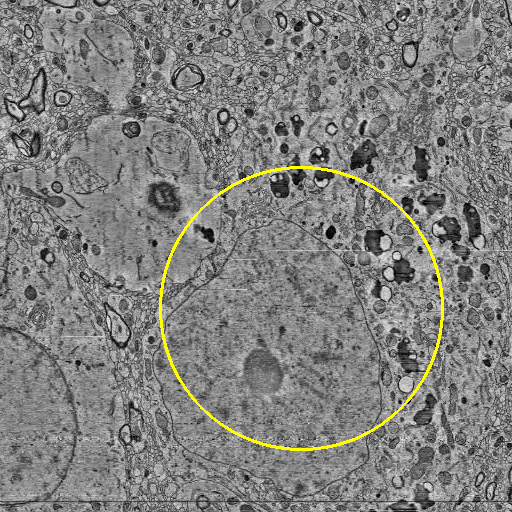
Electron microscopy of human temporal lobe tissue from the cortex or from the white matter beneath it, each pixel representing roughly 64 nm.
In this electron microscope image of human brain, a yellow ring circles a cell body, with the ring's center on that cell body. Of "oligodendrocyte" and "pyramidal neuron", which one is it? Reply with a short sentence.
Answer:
It is a pyramidal neuron at the center of the ring.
